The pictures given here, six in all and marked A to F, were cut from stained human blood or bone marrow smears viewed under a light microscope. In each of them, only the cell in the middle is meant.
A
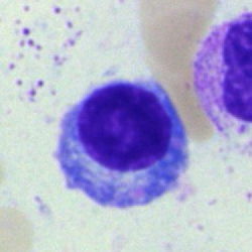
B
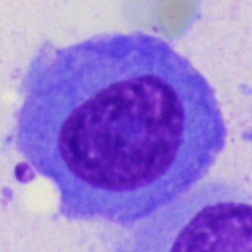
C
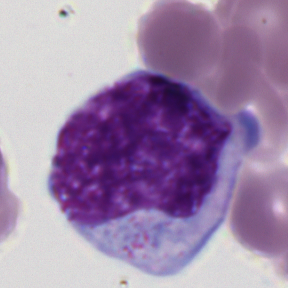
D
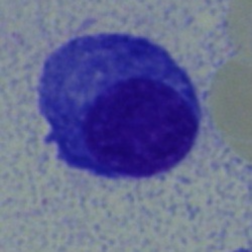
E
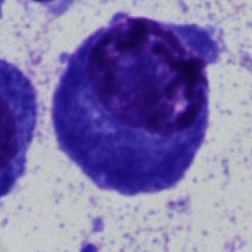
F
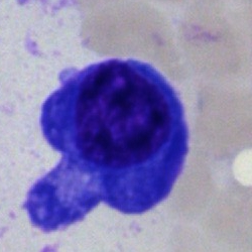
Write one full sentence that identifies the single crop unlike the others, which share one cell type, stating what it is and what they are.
What sets crop C apart is that it is a promyelocyte; the others are all plasma cells.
